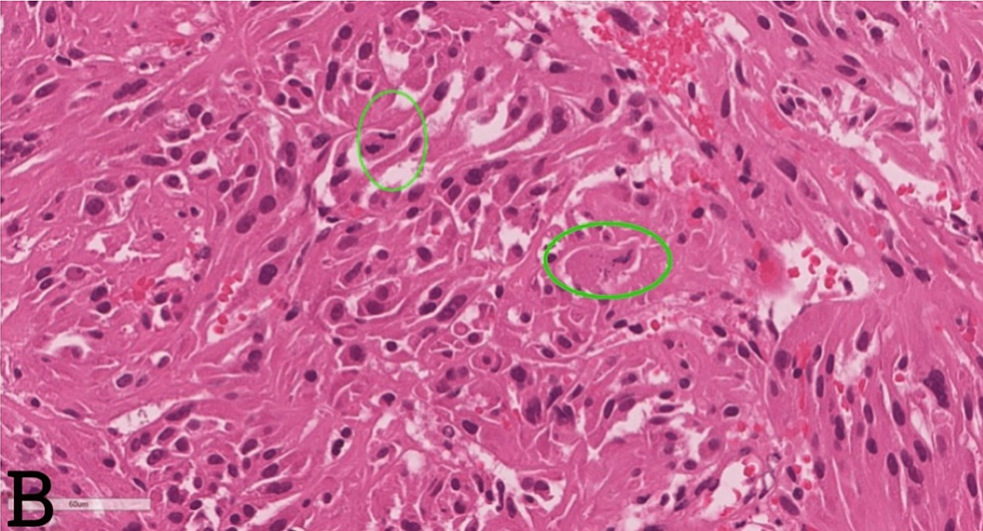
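Here the cells carry little pigment, so their pink cytoplasm and purple nuclei are easy to see. The cells are spindle-shaped to plump and are packed in interlacing bundles that run in different directions. Within the green circles the nuclear material is dark and condensed into irregular clumps, the look of dividing cells, the mitotic figures. A few red blood cells lie in small spaces between the bundles.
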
